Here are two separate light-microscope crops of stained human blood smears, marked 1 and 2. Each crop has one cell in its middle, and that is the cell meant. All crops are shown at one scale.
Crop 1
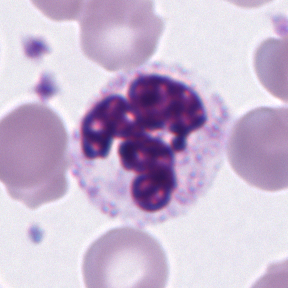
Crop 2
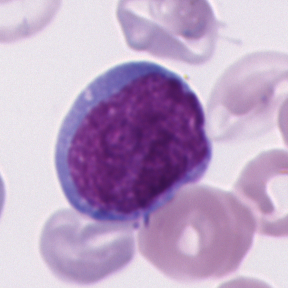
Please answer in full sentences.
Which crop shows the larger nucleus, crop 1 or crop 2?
Crop 2 shows the larger nucleus; it covers about 1.5 times the area of the nucleus in crop 1.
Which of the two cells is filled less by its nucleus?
In crop 1 the nucleus takes up the smaller part of its cell.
